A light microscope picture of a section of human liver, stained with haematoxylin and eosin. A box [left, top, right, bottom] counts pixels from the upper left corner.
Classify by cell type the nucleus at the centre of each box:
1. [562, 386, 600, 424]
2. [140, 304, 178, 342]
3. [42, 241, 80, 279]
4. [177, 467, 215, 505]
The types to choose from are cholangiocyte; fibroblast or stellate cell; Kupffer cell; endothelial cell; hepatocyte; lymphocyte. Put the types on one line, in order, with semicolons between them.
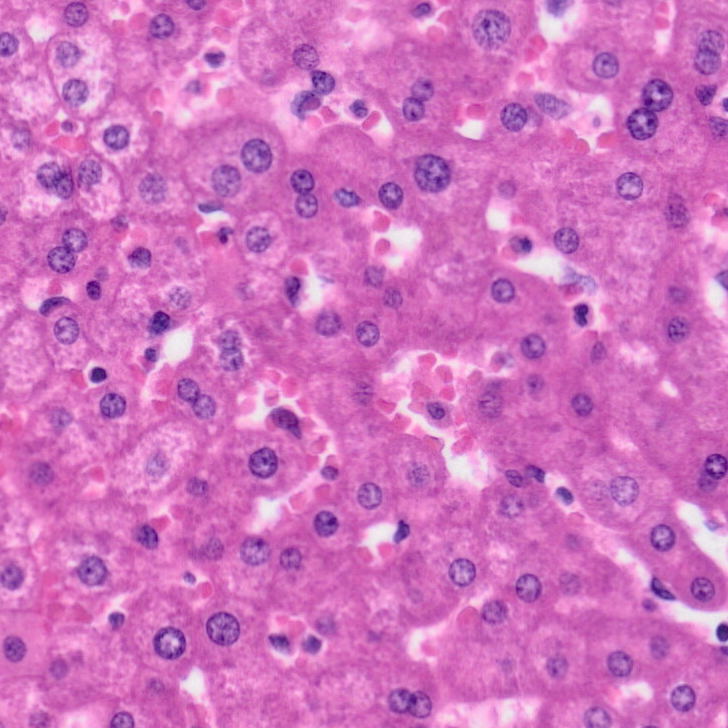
hepatocyte; fibroblast or stellate cell; hepatocyte; hepatocyte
